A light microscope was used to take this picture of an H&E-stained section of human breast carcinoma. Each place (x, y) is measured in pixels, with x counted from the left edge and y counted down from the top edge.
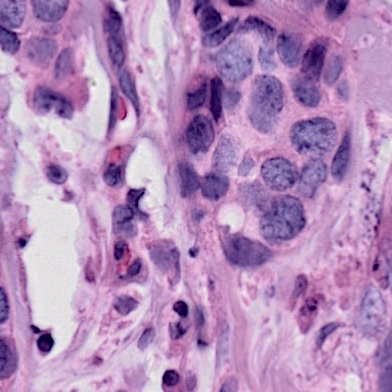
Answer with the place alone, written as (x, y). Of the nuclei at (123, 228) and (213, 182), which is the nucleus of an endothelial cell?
(123, 228)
